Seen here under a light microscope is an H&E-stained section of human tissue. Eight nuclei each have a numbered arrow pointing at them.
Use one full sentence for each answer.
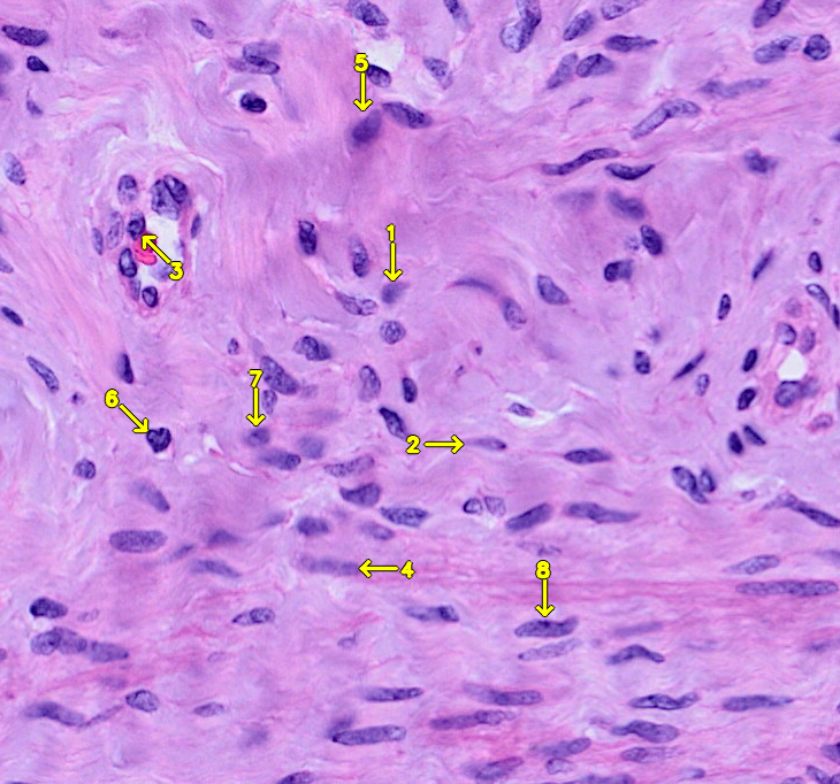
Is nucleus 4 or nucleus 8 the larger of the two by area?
Nucleus 8 covers more area, about 2.5 times as much as nucleus 4.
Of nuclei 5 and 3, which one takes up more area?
At about 2 times the area of nucleus 3, nucleus 5 is the larger of the two.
